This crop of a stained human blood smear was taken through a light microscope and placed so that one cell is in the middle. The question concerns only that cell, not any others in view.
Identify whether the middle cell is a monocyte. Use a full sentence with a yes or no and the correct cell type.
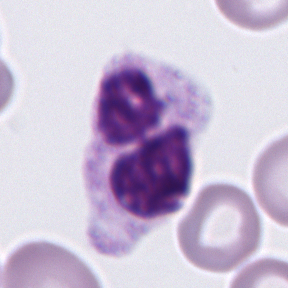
No, the cell in the middle is a neutrophil; it is not a monocyte.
